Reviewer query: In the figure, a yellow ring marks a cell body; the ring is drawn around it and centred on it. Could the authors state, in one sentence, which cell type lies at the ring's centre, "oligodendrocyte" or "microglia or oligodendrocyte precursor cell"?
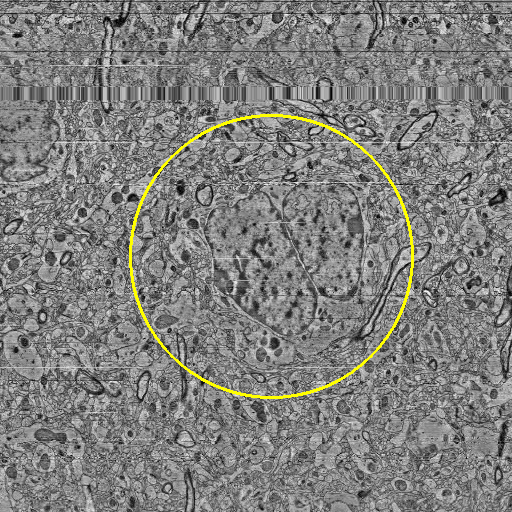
The ring is centred on a microglial cell or oligodendrocyte precursor cell.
